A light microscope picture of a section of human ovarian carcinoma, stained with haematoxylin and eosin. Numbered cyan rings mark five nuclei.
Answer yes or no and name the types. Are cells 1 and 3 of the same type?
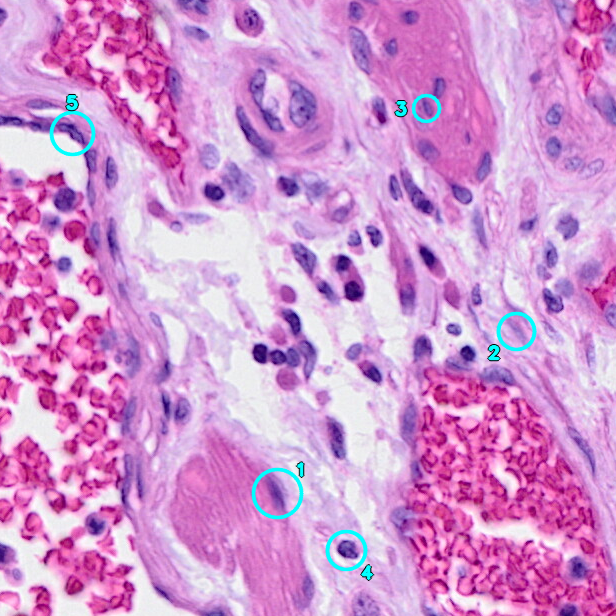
Yes, cells 1 and 3 are both smooth muscle cells in this section.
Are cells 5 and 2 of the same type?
No, cell 5 is an endothelial cell, and in contrast cell 2 is a fibroblast.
